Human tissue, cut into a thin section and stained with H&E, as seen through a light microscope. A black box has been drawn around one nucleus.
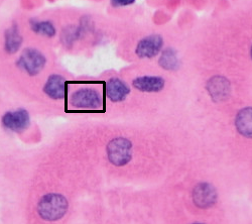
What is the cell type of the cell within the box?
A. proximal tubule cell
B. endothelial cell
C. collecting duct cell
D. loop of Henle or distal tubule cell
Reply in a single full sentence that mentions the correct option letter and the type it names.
In the section, the cell within the box is a collecting duct cell, and option C is correct accordingly.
